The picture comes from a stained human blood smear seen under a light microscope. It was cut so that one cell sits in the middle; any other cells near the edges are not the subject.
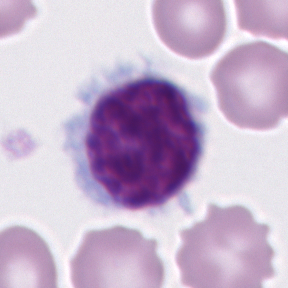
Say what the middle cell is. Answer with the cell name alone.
hairy cell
